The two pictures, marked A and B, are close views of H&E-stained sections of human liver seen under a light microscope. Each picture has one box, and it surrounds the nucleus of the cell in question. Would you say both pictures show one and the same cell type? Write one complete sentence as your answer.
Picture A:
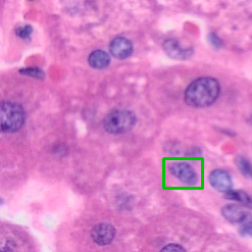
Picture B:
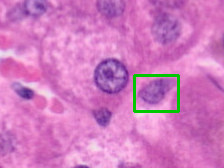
No, the types are not the same, since picture A shows a cholangiocyte and picture B a Kupffer cell.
